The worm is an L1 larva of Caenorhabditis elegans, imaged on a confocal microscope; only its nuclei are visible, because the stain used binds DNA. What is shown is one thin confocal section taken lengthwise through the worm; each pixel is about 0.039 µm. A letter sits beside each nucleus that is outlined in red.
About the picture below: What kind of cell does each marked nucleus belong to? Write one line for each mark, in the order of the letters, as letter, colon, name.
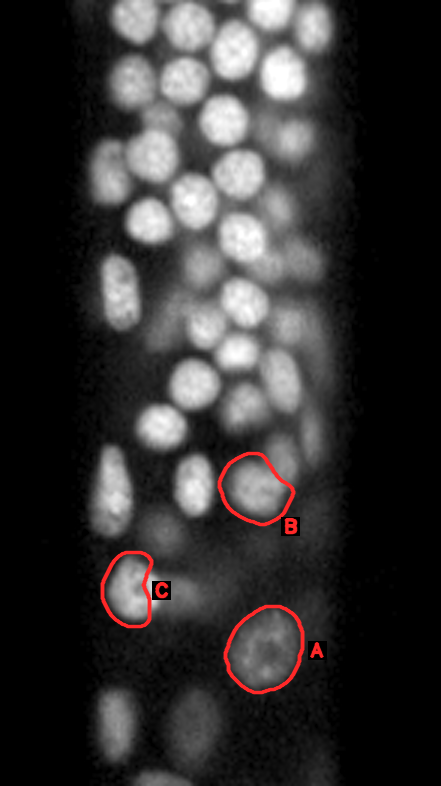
A: hypodermal cell (hyp)
B: pharyngeal muscle cell
C: body wall muscle cell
